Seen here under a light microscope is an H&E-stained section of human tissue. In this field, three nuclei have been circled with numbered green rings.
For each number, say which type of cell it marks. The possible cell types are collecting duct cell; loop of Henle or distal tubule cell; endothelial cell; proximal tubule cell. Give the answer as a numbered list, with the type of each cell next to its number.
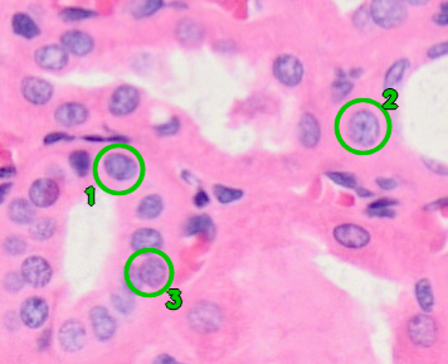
1. collecting duct cell
2. loop of Henle or distal tubule cell
3. collecting duct cell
